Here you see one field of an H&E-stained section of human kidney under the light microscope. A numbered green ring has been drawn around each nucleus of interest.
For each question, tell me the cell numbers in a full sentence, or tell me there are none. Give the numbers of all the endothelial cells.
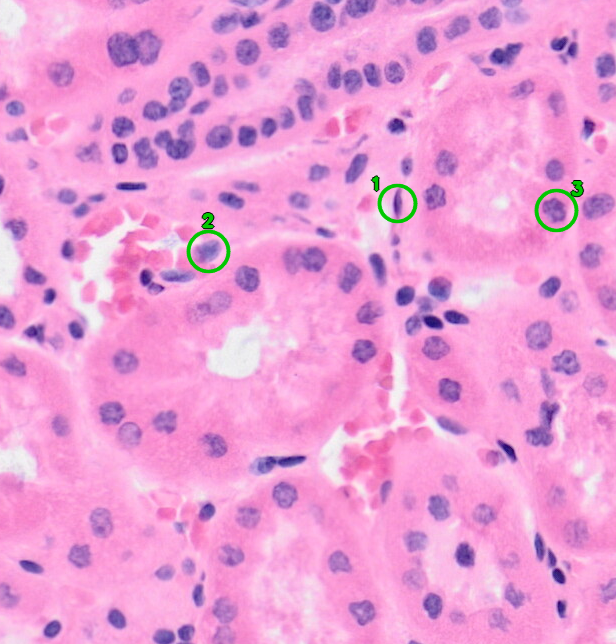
The cells bearing the numbers 1 and 2 are endothelial cells.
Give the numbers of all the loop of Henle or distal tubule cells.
Across all the numbered cells, loop of Henle or distal tubule cells are absent.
